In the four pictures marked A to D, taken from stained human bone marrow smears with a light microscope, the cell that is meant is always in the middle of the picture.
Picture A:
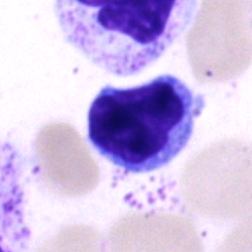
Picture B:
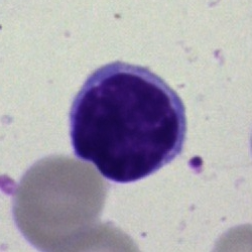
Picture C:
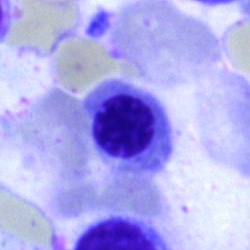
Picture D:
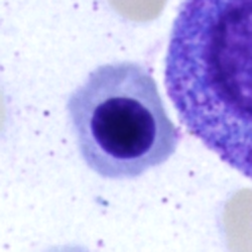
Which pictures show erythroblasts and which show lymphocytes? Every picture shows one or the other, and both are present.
A: lymphocyte
B: lymphocyte
C: erythroblast
D: erythroblast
